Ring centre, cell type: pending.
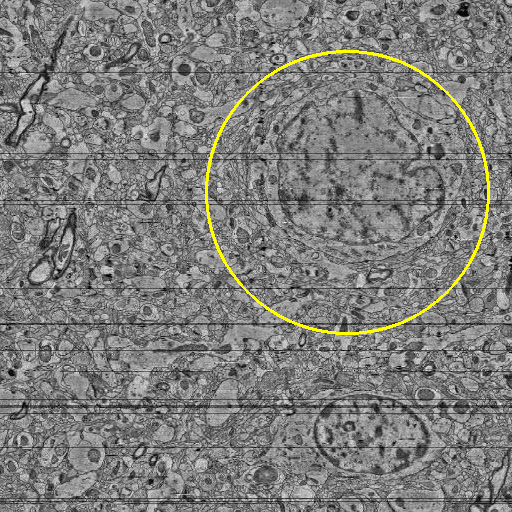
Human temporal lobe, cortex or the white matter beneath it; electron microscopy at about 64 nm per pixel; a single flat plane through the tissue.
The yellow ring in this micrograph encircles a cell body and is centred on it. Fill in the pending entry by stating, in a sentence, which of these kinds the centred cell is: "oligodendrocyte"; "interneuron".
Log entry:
The centred cell is recorded as an interneuron.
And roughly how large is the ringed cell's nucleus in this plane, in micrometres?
The nucleus of the ringed cell is approximately 11 micrometres across in this plane.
